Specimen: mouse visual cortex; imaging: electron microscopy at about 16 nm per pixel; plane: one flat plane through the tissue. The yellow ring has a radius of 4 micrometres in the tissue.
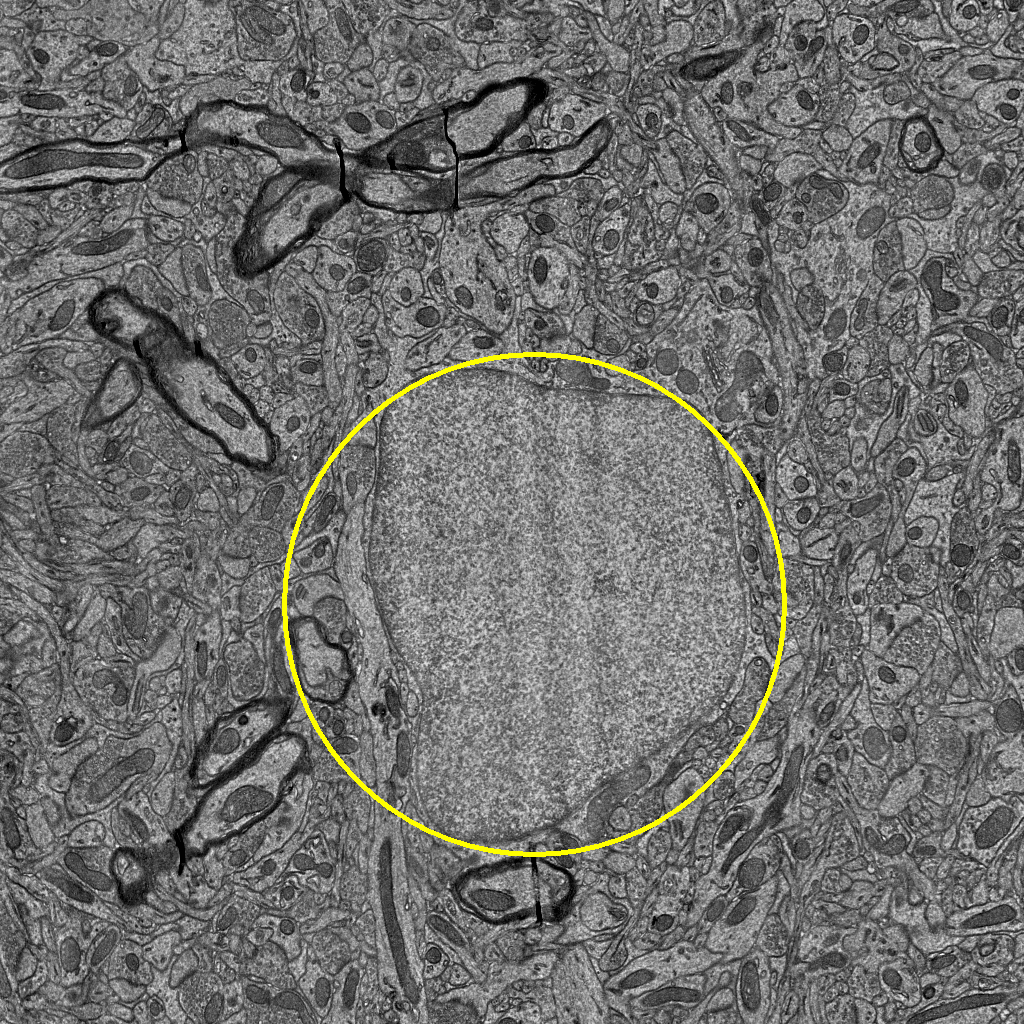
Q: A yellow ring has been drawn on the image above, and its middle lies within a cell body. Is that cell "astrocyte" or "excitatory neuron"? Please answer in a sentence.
The ring's middle lies in the cell body of an astrocyte.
